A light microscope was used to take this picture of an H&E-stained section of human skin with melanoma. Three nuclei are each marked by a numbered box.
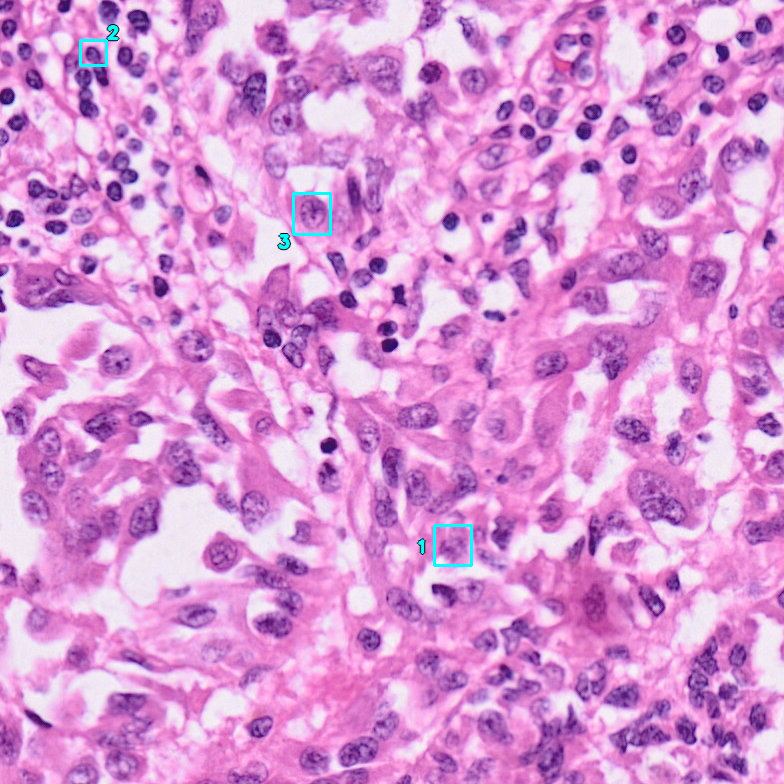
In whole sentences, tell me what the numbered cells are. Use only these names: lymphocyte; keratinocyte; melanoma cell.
Cell 1 is a melanoma cell, cell 2 is a lymphocyte and cell 3 is a melanoma cell.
